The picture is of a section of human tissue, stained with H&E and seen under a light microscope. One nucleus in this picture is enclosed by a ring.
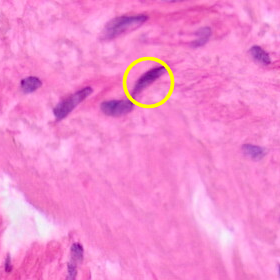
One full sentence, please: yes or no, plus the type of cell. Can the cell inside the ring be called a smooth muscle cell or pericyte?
Yes, the cell inside the ring has been identified as a smooth muscle cell or pericyte.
